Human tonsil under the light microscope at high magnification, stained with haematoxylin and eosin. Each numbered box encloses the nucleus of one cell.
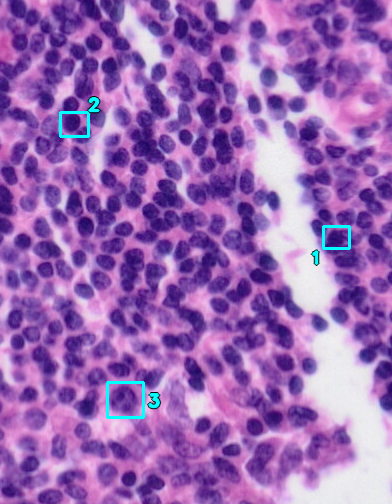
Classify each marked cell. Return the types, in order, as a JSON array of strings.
["small lymphocyte", "small lymphocyte", "proliferating B cell"]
